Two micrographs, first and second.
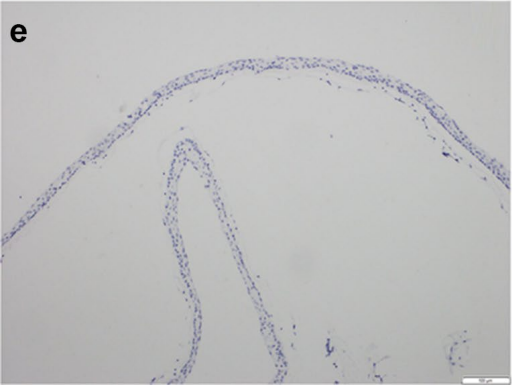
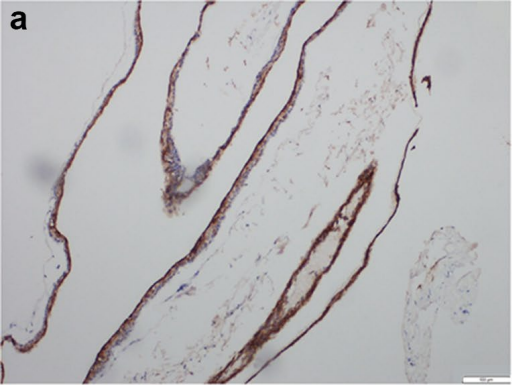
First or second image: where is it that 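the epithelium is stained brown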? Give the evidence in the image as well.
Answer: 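First image: the thin cell lining shows only blue nuclei with no brown stain. Second image: a strong brown band lines the tissue strips. So: the second image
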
